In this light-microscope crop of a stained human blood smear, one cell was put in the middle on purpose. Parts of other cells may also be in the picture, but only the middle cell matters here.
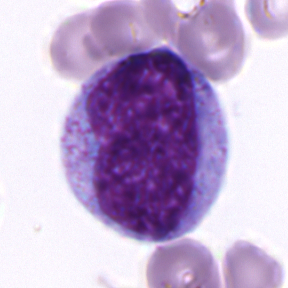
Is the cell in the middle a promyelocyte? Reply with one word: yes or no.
yes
